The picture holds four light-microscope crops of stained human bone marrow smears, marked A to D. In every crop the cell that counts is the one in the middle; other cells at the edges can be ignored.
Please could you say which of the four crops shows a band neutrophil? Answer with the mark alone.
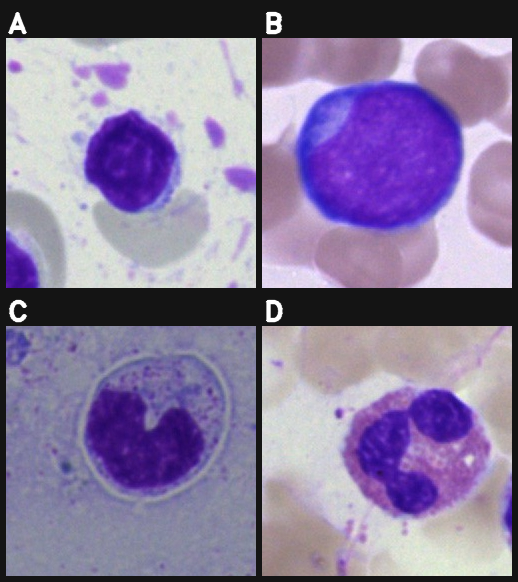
C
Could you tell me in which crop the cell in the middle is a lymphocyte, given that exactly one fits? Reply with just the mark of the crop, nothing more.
A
